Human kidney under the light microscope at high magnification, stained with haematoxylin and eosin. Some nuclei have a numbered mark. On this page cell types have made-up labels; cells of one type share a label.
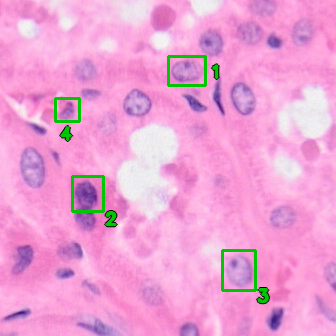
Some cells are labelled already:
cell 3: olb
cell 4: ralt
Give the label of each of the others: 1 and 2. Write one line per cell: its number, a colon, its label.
1: olb
2: olb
